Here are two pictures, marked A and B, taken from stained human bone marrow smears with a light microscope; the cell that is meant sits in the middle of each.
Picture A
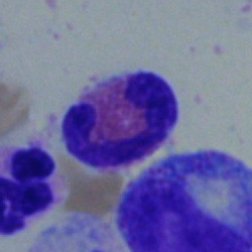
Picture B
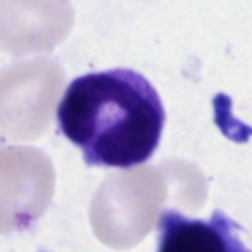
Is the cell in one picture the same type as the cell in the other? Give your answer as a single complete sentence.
No; the cell in picture A is an eosinophil, while the one in picture B is a segmented neutrophil.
